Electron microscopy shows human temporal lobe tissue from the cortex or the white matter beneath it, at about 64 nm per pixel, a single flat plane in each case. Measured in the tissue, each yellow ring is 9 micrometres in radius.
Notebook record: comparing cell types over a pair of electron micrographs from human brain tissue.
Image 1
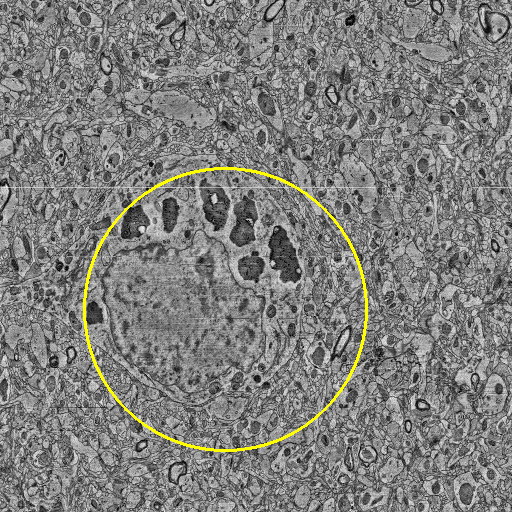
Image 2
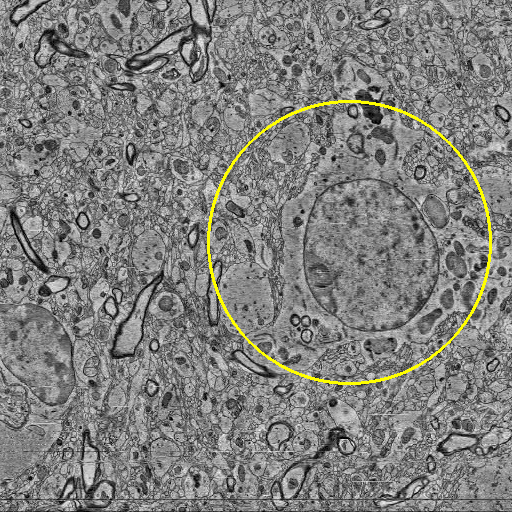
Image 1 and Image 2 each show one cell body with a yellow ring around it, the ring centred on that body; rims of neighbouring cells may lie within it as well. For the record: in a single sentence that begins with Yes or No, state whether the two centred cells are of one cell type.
No, two cell types are found among the centred cells of Image 1 and Image 2.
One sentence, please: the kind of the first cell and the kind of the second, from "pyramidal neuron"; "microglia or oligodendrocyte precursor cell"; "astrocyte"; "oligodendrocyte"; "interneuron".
The ring in the first picture surrounds an interneuron, and the ring in the second surrounds an astrocyte.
